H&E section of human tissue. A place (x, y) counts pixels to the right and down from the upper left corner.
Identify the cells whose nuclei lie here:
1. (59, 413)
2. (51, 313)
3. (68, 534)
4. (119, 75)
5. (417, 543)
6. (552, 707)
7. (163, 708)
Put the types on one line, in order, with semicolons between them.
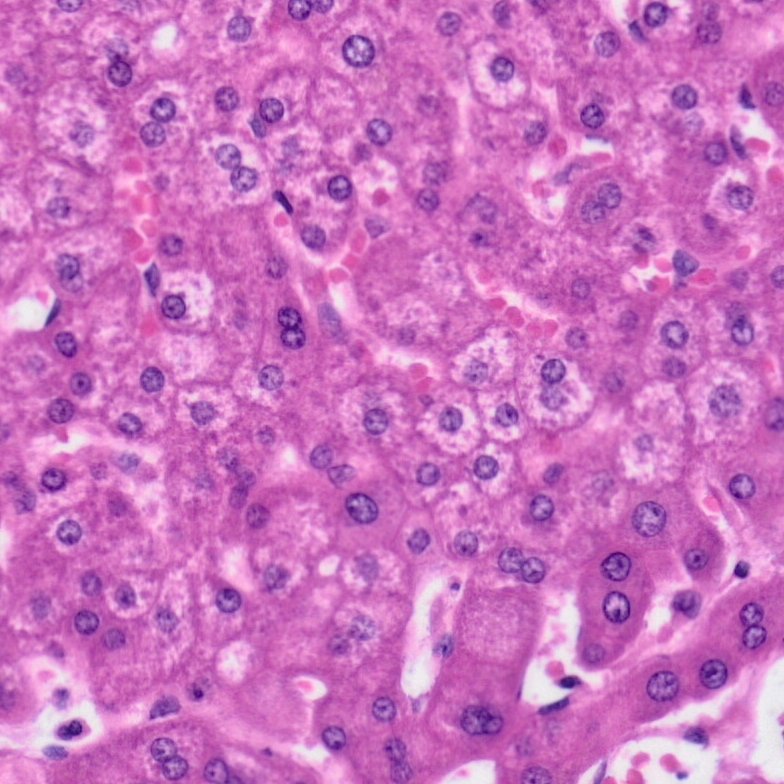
hepatocyte; endothelial cell; hepatocyte; hepatocyte; hepatocyte; fibroblast or stellate cell; endothelial cell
